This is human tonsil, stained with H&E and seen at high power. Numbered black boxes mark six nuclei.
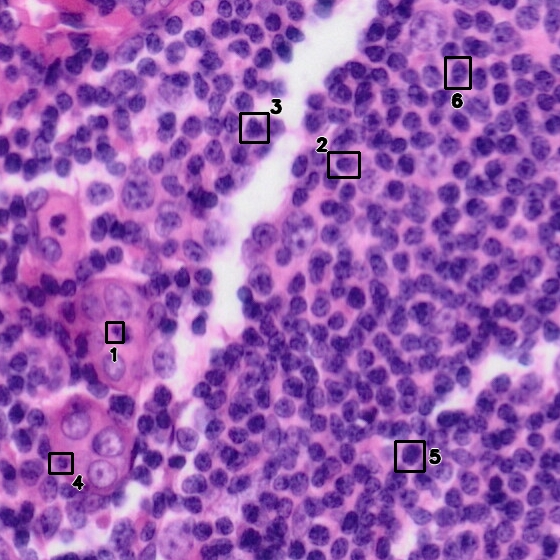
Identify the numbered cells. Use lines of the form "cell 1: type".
cell 1: endothelial cell
cell 2: small lymphocyte
cell 3: small lymphocyte
cell 4: endothelial cell
cell 5: small lymphocyte
cell 6: small lymphocyte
